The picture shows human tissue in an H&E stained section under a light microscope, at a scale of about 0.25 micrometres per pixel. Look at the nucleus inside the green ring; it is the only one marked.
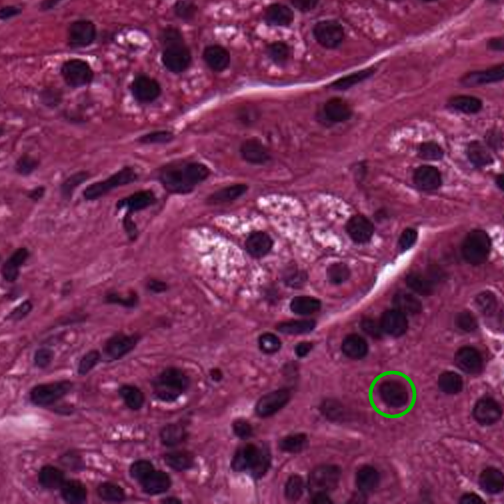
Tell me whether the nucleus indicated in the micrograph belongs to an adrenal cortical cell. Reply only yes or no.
yes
